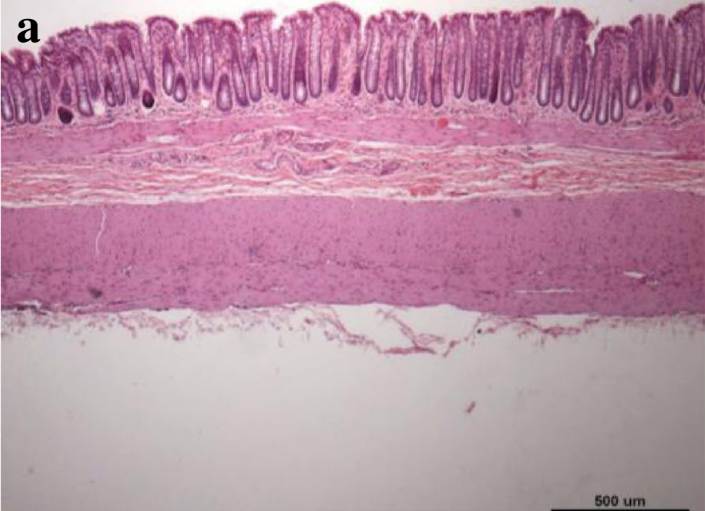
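Full-thickness section of bowel wall stained with hematoxylin and eosin, showing the normal layered architecture. The mucosa at the top consists of closely packed, straight, parallel tubular crypts of even length, lined by epithelium with purple nuclei and pale goblet cells, opening onto a continuous surface. Beneath lies a thin muscular layer of the mucosa and a loose, pale submucosa with small vessels. Below this is a thick, evenly pink muscular layer, and at the bottom a thin, loose outer layer. No ulceration, distortion of crypts or dense inflammatory infiltrate is seen.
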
